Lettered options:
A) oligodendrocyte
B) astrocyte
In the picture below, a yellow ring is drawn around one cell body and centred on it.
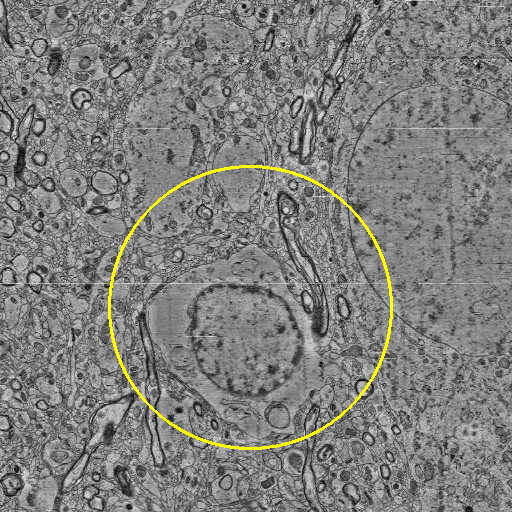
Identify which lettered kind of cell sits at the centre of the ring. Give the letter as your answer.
B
